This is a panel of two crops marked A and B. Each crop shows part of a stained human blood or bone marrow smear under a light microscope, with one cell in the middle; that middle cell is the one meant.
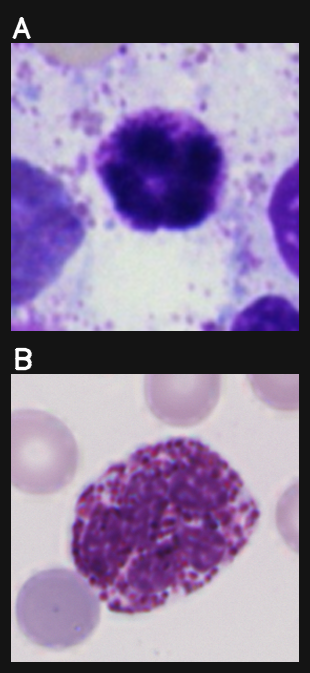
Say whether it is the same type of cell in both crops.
yes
